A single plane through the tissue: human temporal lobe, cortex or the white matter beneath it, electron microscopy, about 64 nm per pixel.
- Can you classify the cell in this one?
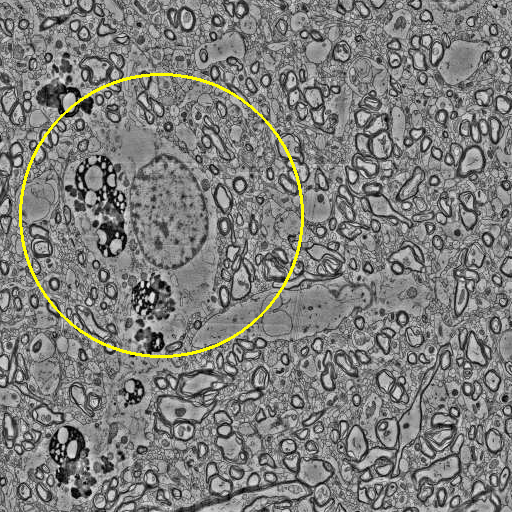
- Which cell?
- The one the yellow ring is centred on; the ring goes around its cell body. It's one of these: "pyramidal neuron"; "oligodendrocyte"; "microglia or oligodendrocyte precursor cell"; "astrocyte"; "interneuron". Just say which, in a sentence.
The cell body in the ring belongs to an astrocyte.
